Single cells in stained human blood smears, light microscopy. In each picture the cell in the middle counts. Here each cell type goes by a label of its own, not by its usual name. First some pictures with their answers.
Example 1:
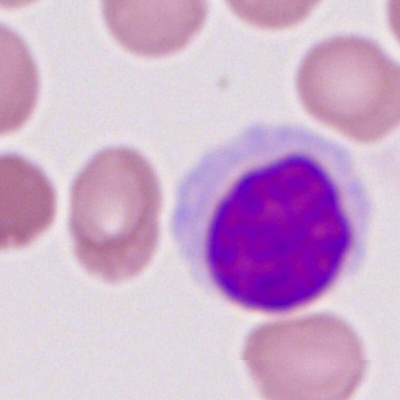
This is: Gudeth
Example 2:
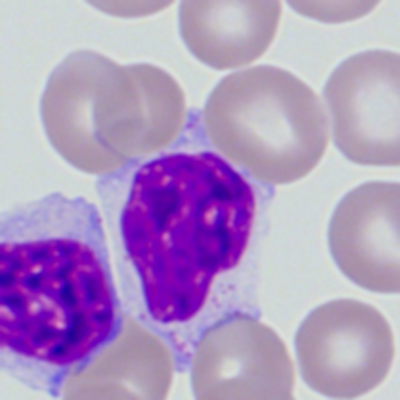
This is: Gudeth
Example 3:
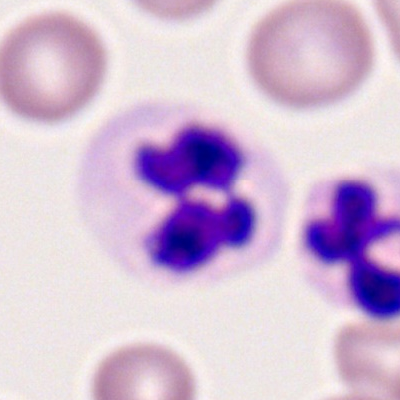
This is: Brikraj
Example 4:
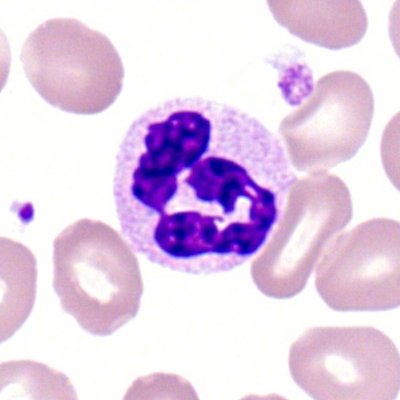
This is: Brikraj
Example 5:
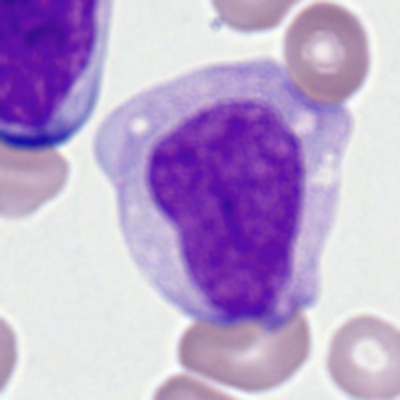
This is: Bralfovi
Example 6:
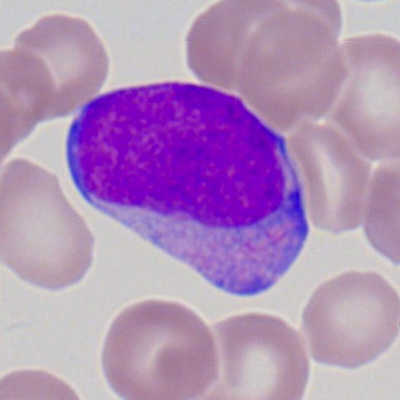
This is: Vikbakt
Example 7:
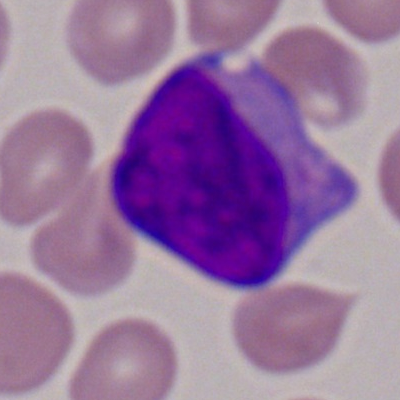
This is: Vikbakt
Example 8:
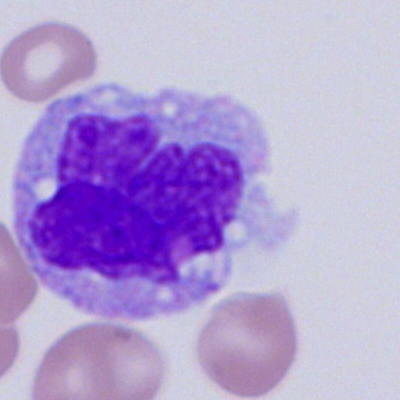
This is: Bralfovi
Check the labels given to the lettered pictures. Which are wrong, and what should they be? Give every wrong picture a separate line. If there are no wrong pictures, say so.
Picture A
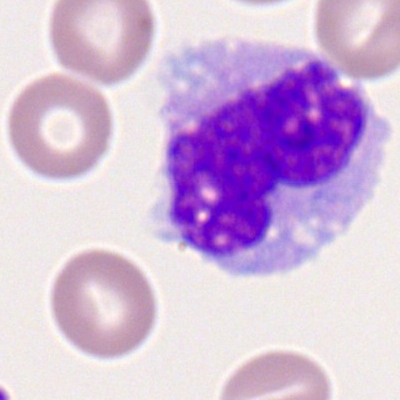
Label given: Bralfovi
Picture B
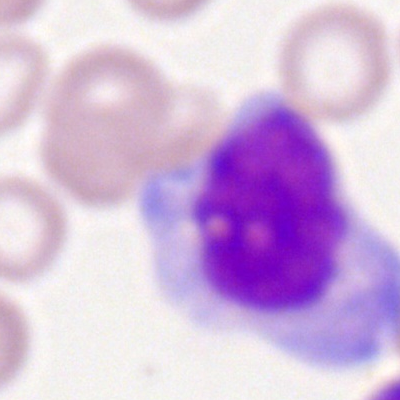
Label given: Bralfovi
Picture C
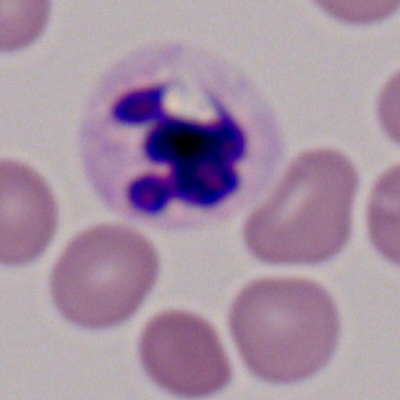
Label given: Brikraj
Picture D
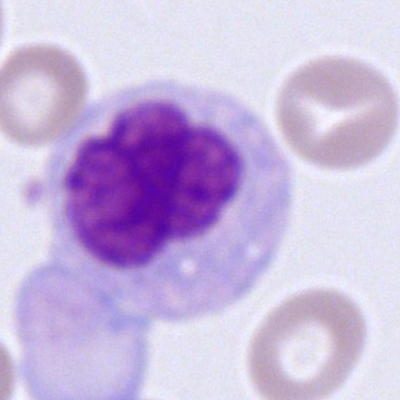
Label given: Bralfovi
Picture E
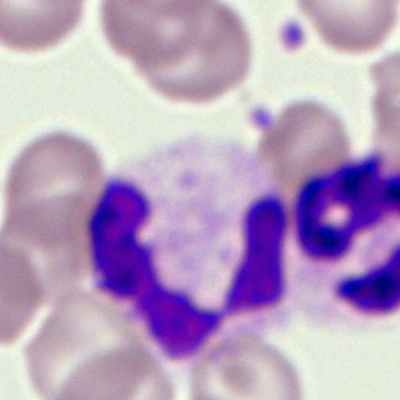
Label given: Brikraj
All correct.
